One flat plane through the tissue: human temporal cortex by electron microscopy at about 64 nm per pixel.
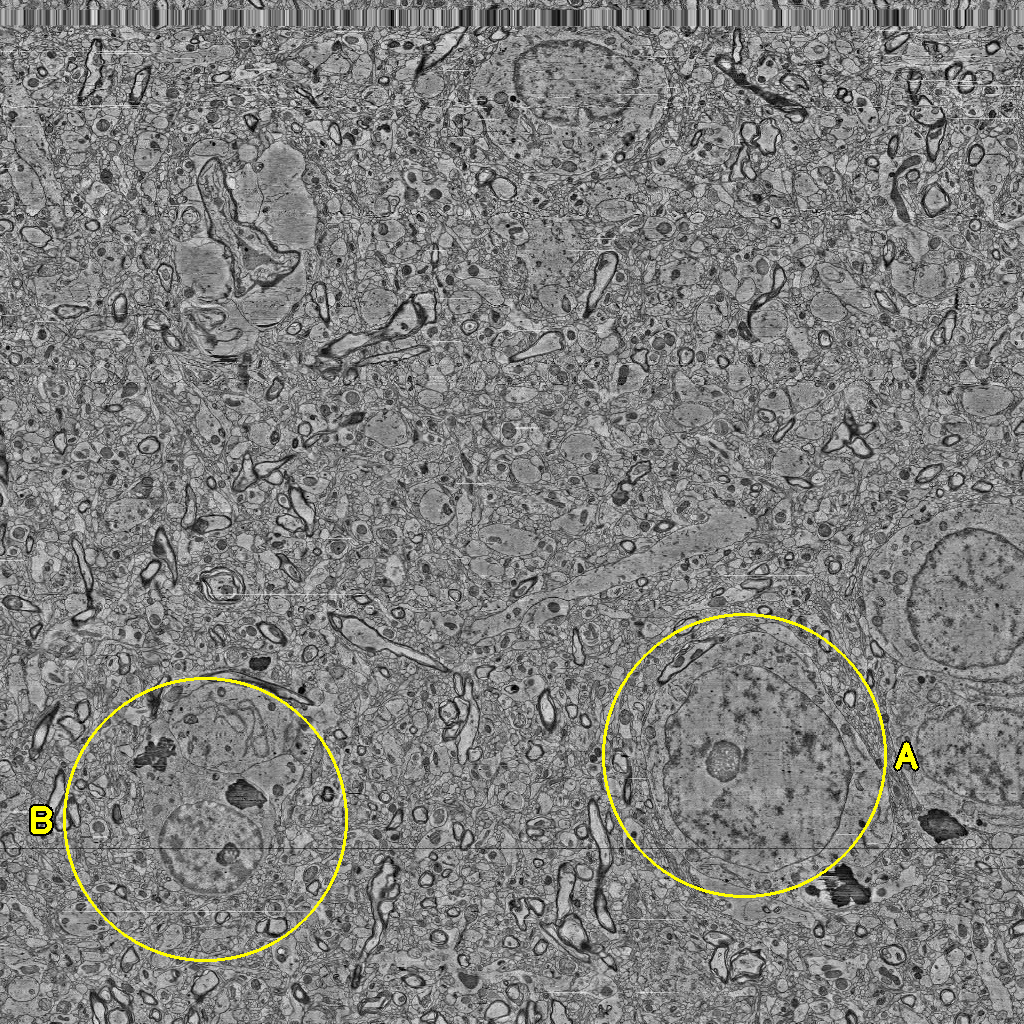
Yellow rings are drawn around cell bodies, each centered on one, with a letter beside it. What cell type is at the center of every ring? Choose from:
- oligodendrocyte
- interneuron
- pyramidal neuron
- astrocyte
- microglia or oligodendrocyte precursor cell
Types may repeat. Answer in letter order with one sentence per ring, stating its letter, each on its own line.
The cell at the center of ring A is a pyramidal neuron.
The cell at the center of ring B is an oligodendrocyte.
